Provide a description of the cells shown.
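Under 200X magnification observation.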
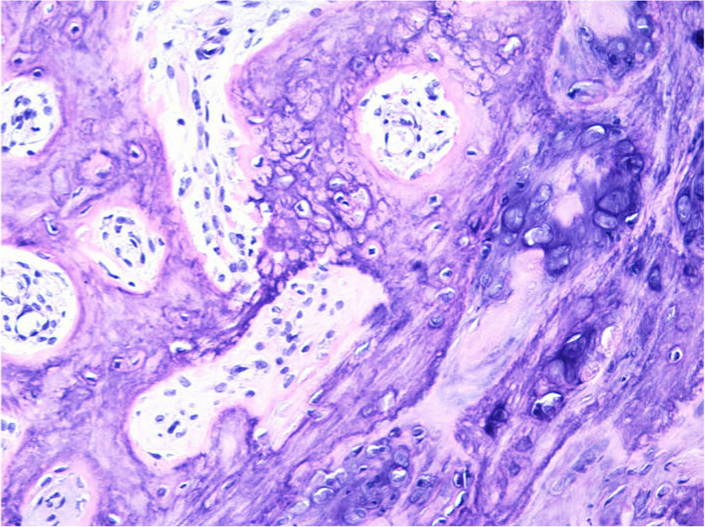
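The field shows a mixed lesion of bone trabeculae, patchy cartilage and fibrous tissue. Irregular, branching purple-pink matrix forms trabeculae, and pale pink areas with loosely set spindle-shaped cells and oval nuclei lie between them. On the right, darker blue-purple cartilaginous matrix holds clusters of rounded chondrocytes sitting in lacunae, some with enlarged, dark nuclei. The components are arranged irregularly, without an orderly layered structure.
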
